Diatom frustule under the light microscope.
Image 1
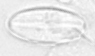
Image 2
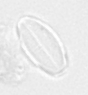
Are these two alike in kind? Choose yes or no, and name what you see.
Yes. Achnanthidium.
